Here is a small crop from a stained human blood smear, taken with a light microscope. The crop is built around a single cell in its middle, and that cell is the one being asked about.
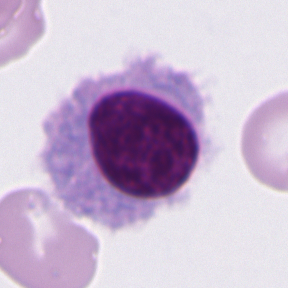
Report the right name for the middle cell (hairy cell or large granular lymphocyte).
hairy cell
